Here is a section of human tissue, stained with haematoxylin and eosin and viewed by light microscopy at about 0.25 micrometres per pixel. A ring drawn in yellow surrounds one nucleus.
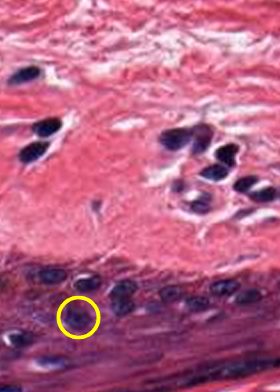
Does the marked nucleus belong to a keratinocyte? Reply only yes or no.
yes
